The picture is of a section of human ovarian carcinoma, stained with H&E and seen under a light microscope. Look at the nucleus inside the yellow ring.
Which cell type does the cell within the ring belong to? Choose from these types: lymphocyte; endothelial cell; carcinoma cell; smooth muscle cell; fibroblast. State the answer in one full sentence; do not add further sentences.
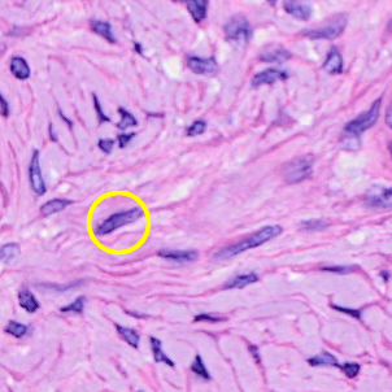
It is a fibroblast that the cell within the ring represents.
